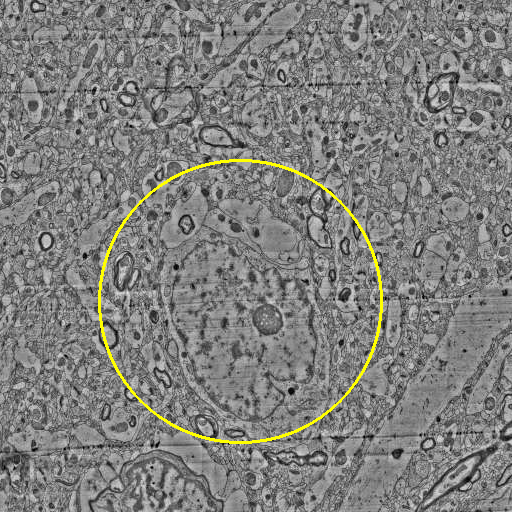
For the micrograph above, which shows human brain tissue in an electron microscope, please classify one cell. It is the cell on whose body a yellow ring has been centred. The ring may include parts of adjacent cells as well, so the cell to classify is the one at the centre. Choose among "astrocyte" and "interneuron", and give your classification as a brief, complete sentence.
I classify this cell as an interneuron.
